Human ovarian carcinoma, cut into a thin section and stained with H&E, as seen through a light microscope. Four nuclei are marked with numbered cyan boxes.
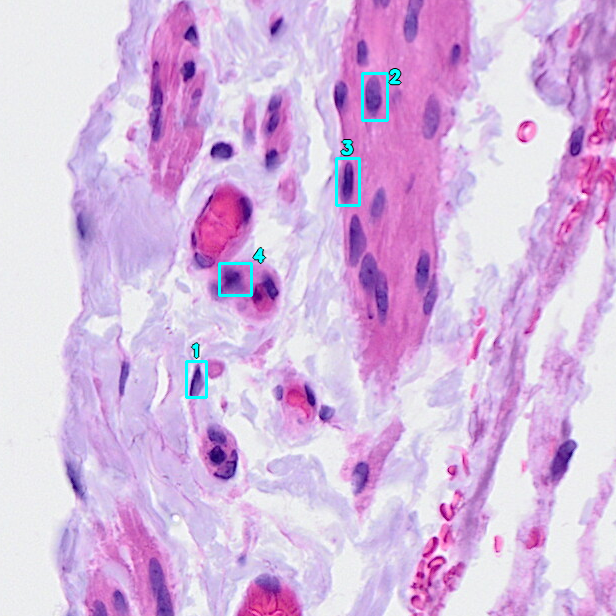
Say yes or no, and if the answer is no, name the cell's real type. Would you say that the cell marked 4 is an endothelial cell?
Yes.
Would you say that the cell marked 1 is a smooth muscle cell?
No, it is a fibroblast.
